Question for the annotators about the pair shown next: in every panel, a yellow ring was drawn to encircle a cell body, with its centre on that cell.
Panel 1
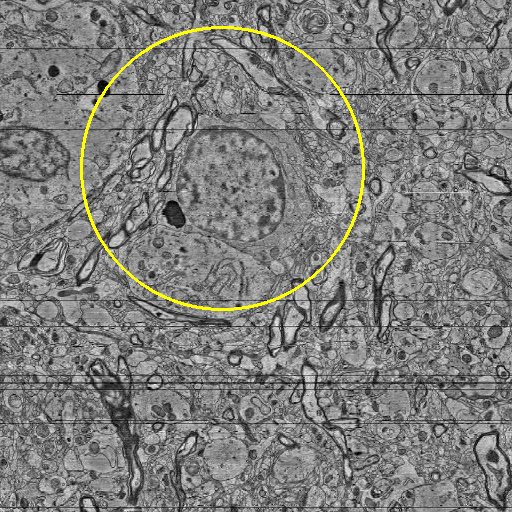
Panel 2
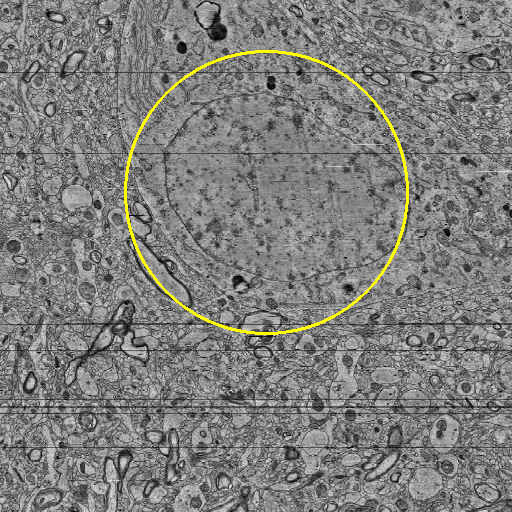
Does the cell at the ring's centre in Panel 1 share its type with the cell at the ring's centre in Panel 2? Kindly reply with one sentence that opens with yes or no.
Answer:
No, in Panels 1 and 2 the cells at the ring centres belong to separate types.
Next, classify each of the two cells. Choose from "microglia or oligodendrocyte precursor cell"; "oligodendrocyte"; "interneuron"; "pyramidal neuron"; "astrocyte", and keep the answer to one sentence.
In the first picture it is an oligodendrocyte; in the second it is a pyramidal neuron.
